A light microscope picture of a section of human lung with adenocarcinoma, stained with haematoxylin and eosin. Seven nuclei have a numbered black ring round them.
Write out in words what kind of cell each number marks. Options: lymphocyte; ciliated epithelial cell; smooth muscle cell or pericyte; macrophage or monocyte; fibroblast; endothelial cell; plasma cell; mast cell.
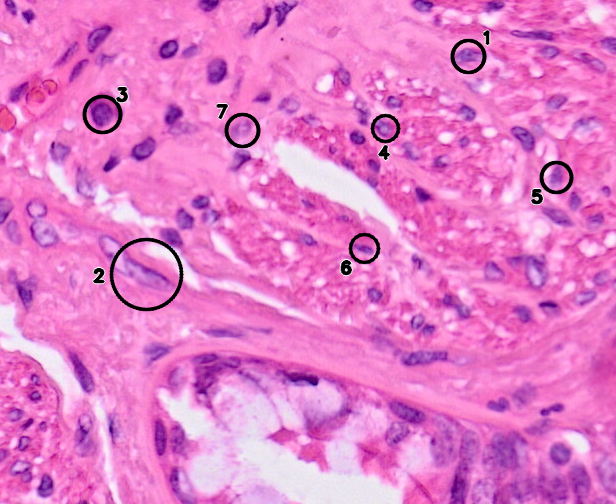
Cell 1 is a smooth muscle cell or pericyte, cell 2 is an endothelial cell, cell 3 is a plasma cell, cell 4 is a smooth muscle cell or pericyte, cell 5 is a smooth muscle cell or pericyte, cell 6 is a smooth muscle cell or pericyte and cell 7 is a fibroblast.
